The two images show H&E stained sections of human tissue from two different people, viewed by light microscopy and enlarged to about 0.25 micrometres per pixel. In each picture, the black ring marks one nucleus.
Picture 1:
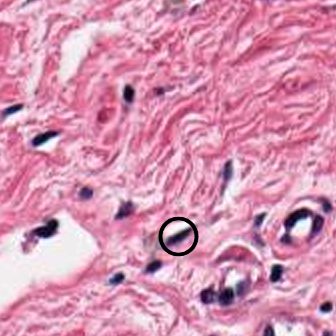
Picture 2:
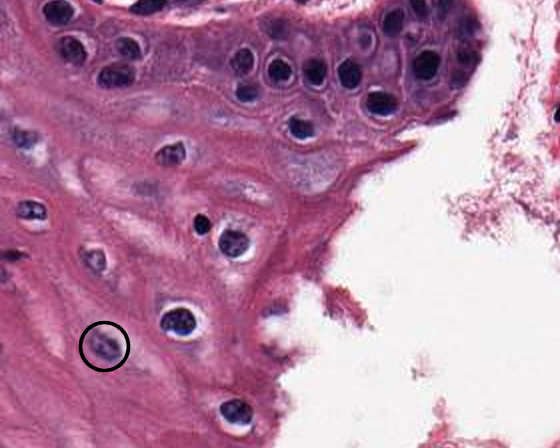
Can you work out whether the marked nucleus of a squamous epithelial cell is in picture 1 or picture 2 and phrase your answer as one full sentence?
Whereas the other picture does not, picture 2 marks a nucleus belonging to a squamous epithelial cell.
